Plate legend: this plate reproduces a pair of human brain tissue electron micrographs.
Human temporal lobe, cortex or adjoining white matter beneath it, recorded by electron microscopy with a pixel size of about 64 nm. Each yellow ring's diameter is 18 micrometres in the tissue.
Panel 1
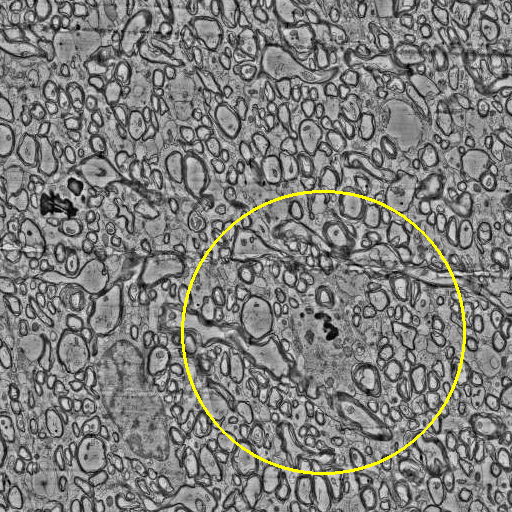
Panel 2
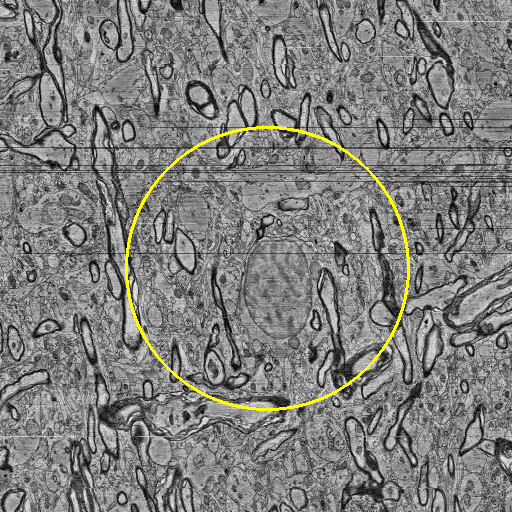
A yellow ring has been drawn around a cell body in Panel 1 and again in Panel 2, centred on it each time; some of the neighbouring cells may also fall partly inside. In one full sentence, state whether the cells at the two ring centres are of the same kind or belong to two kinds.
The ring-centred cells of Panel 1 and Panel 2 are of the same kind.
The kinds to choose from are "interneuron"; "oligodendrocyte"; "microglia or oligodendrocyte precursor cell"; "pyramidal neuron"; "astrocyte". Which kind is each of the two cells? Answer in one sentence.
In each of the two pictures, the ringed cell is an oligodendrocyte.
